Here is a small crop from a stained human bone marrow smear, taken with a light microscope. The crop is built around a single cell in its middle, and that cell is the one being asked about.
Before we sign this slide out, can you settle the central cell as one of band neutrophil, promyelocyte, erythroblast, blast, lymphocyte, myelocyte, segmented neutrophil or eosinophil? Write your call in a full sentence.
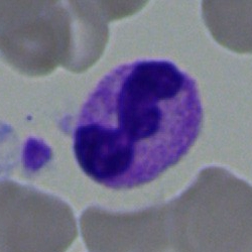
In the center of this field lies a segmented neutrophil.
